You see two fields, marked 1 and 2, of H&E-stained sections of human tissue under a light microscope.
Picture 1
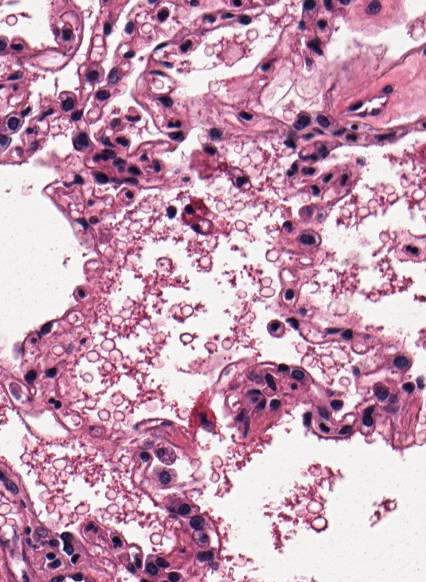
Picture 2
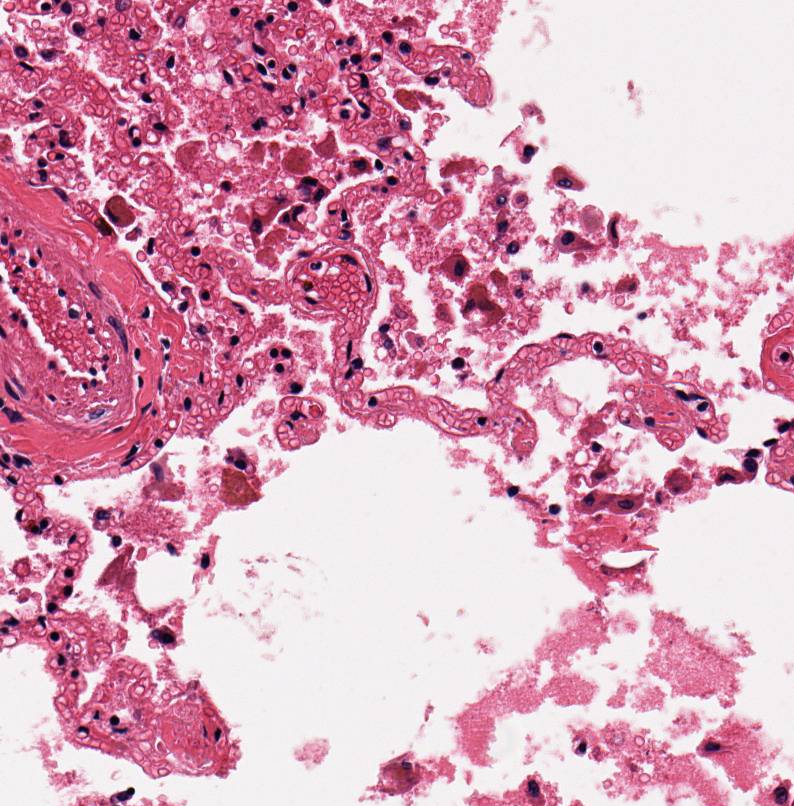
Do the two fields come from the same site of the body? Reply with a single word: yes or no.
yes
